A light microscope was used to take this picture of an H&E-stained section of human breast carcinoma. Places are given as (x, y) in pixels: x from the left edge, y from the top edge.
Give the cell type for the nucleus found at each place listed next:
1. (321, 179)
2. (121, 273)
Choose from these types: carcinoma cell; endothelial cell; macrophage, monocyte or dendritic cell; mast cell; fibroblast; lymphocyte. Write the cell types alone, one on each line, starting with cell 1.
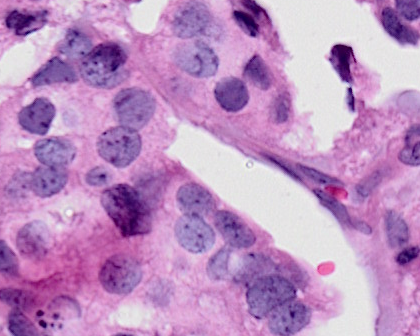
endothelial cell
carcinoma cell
